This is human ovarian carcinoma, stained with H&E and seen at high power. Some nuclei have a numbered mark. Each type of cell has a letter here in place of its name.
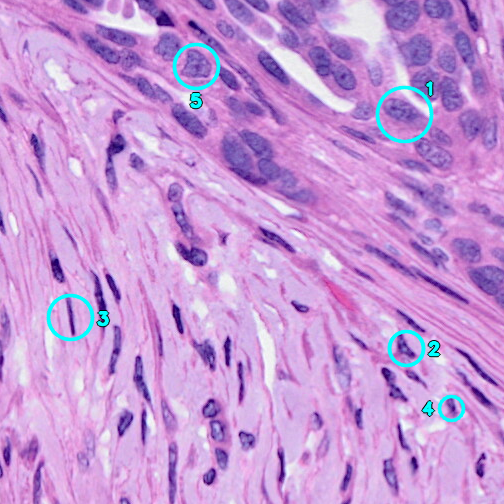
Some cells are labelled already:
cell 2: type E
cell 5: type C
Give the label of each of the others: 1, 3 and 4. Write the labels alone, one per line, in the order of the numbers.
type C
type E
type E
